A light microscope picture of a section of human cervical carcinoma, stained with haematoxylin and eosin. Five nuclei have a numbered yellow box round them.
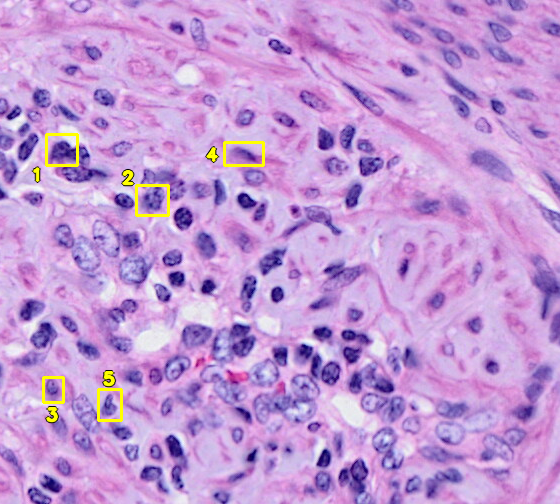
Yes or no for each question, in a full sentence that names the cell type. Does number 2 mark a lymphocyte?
Yes, it is a lymphocyte that number 2 identifies.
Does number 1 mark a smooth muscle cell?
No, cell 1 is not a smooth muscle cell; a lymphocyte is correct.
